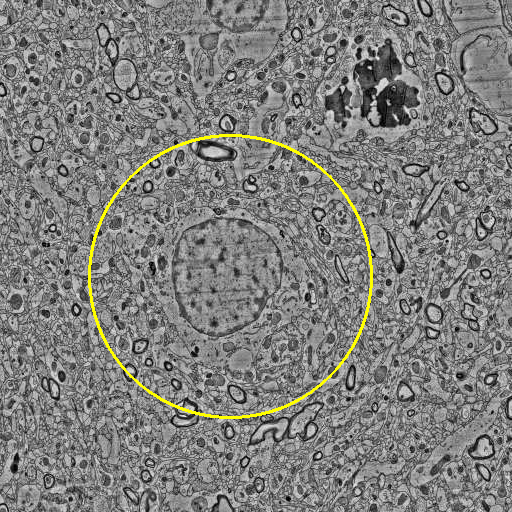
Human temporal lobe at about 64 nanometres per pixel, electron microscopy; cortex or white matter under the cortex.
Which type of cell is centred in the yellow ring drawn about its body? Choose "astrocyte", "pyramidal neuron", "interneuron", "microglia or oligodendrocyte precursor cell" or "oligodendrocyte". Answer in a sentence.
The yellow ring surrounds the cell body of a microglial cell or oligodendrocyte precursor cell.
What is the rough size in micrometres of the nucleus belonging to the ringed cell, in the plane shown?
About 7 micrometres across, as seen in this plane.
